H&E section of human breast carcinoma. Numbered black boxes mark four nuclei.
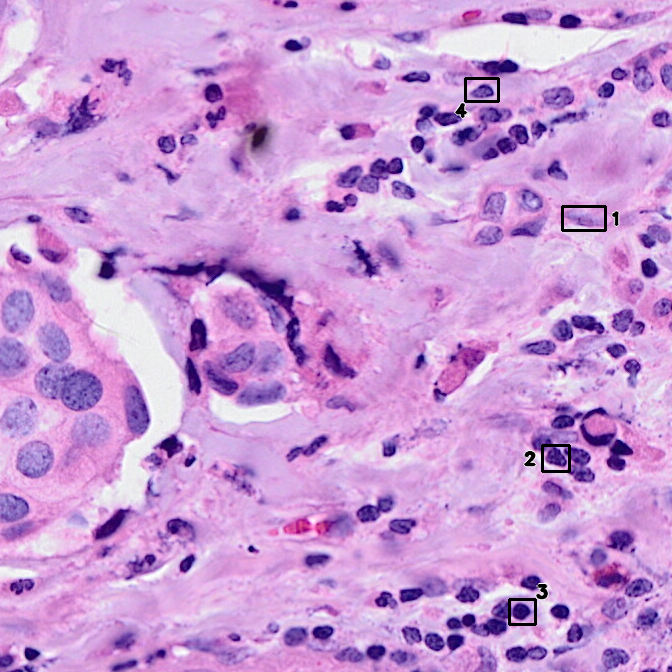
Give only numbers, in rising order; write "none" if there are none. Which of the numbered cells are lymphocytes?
2, 3, 4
